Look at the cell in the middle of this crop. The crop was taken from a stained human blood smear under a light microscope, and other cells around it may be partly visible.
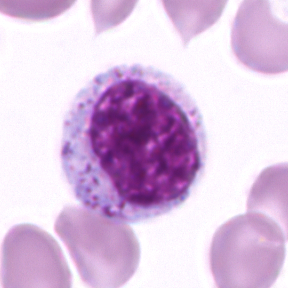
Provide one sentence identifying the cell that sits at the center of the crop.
Seen at the centre of the crop is a metamyelocyte.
